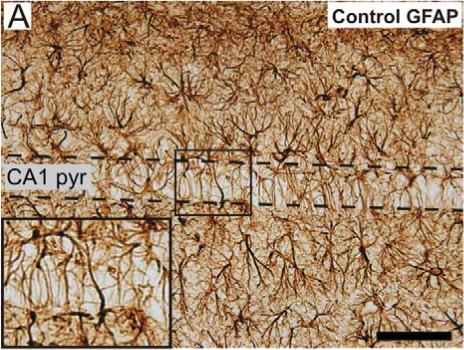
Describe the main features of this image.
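Brown-stained star-shaped cells with slender, branching processes are spread evenly across the field, above and below a paler band where the cell bodies of the principal layer sit unstained. Their fine processes cross this band, and the enlarged inset shows thin, long processes running between pale cell bodies.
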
